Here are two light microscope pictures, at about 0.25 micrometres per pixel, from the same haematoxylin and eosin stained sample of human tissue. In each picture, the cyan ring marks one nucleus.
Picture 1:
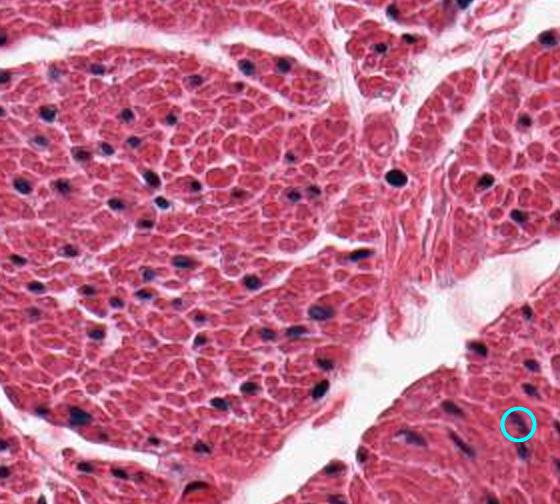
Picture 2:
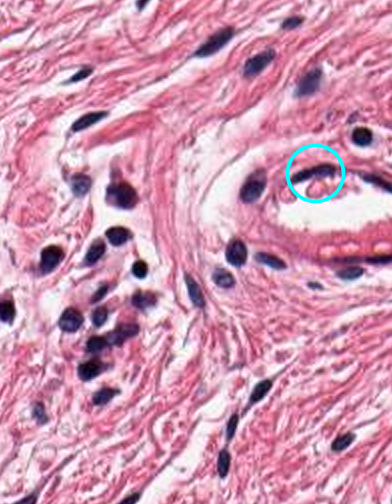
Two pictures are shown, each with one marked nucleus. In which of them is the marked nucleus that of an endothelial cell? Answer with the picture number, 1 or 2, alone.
2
